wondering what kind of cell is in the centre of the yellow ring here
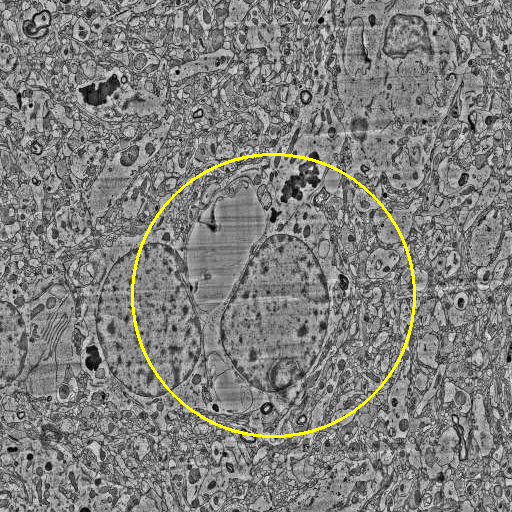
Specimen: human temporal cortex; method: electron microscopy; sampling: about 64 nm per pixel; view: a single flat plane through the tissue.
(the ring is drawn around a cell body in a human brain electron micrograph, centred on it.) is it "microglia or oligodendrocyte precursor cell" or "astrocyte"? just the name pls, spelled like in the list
astrocyte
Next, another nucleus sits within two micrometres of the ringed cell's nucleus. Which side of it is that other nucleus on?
That nucleus lies to the left of it.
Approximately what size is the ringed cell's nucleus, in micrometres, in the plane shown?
Approximately 10 x 7 micrometres in this plane.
